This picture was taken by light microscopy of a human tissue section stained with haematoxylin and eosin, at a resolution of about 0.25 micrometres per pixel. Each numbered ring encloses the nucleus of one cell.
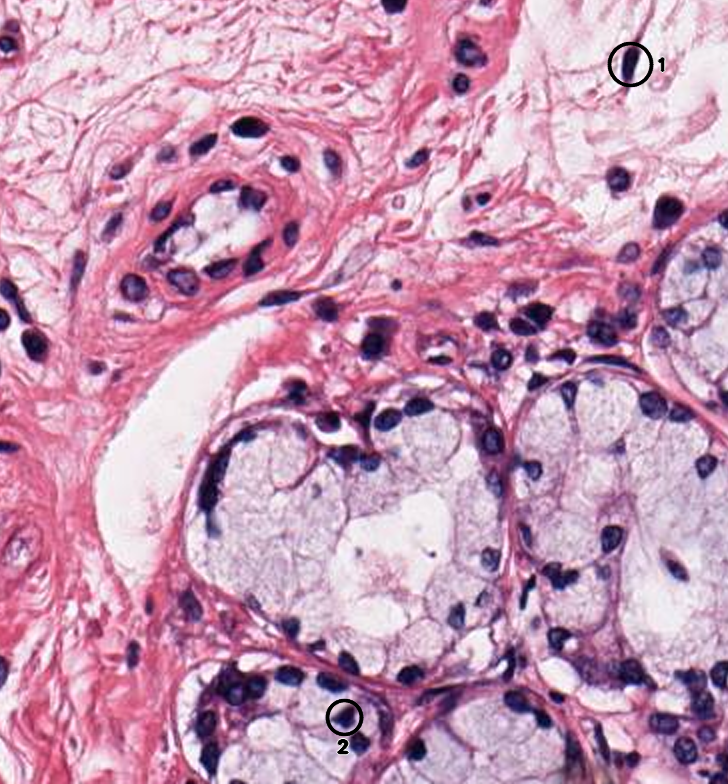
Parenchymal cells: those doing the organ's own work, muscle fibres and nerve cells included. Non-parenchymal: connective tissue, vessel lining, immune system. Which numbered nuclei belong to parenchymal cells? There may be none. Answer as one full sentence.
Nucleus 2 belongs to a parenchymal cell, and the remaining numbered nuclei do not.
